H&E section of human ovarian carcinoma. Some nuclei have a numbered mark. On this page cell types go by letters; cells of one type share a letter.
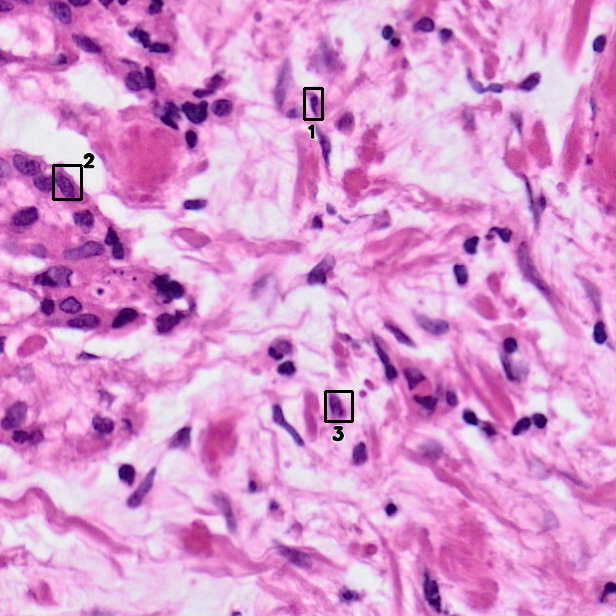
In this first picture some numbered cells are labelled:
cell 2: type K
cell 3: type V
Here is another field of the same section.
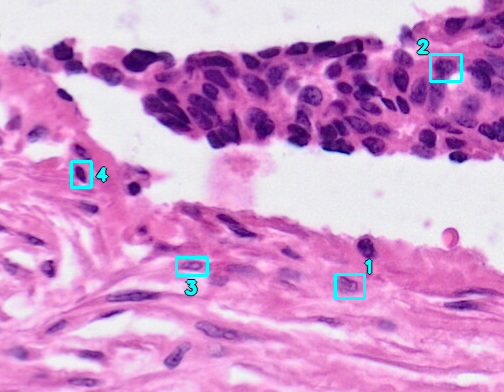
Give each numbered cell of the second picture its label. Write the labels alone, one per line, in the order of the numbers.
type V
type K
type V
type V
